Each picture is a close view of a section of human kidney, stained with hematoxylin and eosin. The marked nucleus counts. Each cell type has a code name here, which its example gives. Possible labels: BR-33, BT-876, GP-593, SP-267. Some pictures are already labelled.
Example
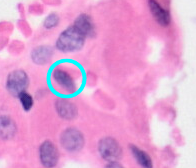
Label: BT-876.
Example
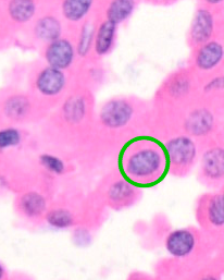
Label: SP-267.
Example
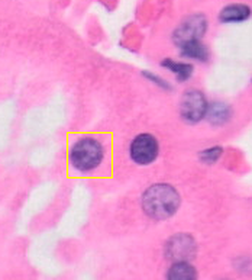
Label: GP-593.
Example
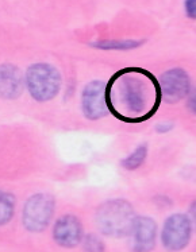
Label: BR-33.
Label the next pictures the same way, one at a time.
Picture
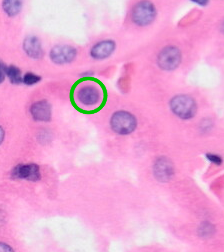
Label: GP-593.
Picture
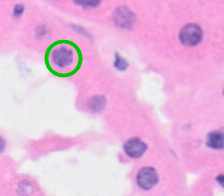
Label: SP-267.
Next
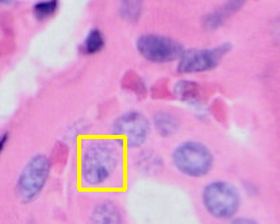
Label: BR-33.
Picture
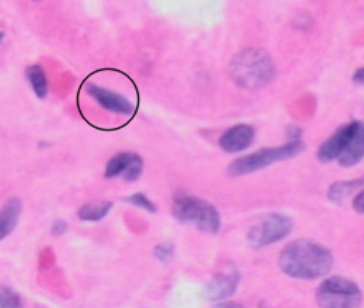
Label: BT-876.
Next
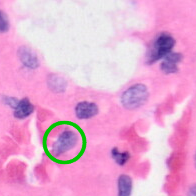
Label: BT-876.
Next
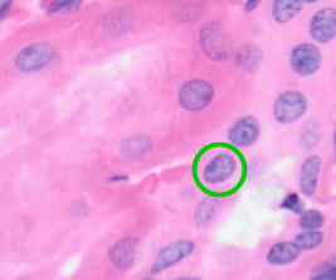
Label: BR-33.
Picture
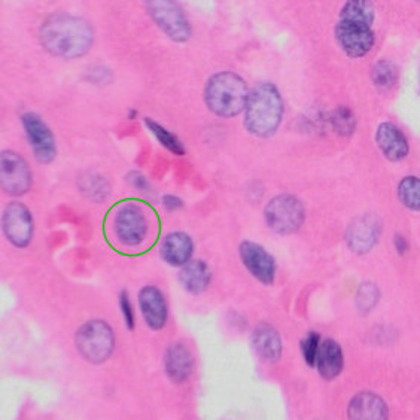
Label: SP-267.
